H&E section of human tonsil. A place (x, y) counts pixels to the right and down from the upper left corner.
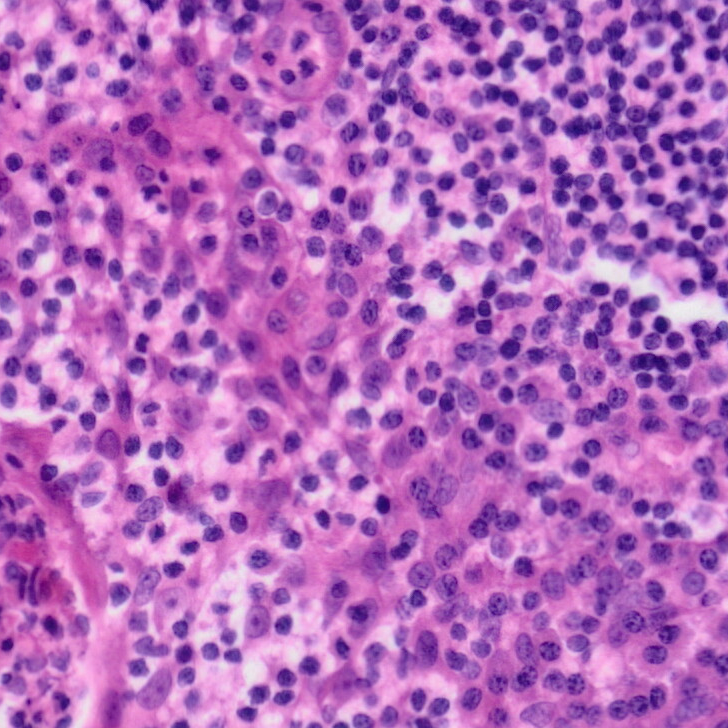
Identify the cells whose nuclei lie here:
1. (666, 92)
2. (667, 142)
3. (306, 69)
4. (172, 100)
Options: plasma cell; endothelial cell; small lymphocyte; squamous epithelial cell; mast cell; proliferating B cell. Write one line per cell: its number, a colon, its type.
1: small lymphocyte
2: small lymphocyte
3: endothelial cell
4: squamous epithelial cell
